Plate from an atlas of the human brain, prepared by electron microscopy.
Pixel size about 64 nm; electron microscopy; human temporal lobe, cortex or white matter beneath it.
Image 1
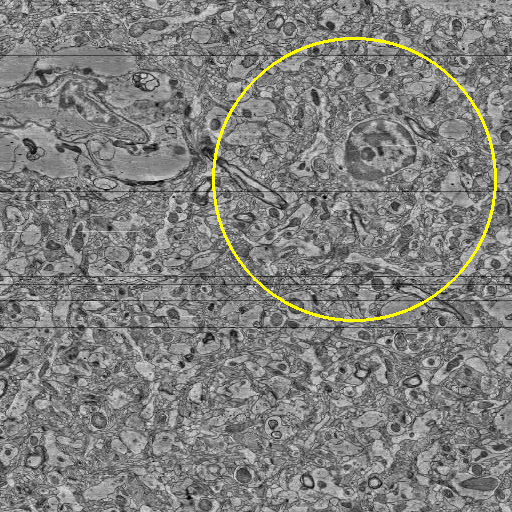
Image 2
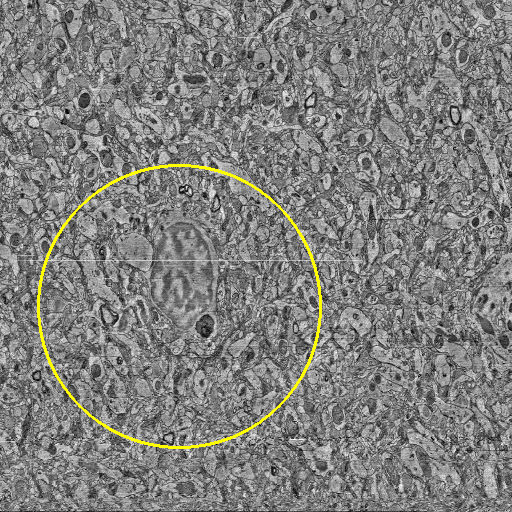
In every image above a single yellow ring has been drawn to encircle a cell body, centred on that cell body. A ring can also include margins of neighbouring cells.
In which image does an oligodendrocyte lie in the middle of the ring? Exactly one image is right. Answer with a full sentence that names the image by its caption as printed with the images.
Image 2 holds the requested cell at the very centre of its ring.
